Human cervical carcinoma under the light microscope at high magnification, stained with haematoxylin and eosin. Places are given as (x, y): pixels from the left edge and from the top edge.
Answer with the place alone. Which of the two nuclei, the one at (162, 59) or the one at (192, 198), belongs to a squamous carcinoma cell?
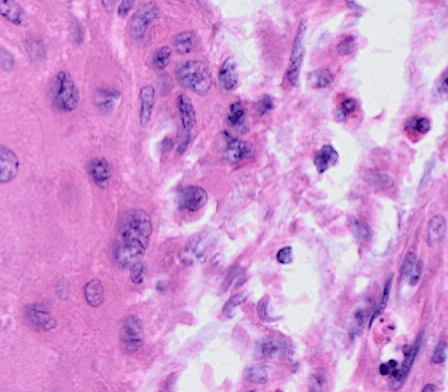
(162, 59)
